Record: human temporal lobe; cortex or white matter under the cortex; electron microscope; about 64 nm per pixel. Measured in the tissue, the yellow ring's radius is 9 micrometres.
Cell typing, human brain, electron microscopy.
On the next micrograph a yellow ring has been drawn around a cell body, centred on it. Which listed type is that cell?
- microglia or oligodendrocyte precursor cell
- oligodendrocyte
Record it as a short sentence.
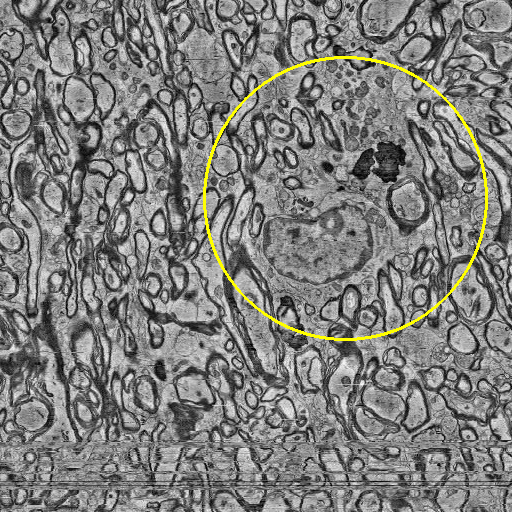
The cell body in the ring's centre belongs to a microglial cell or oligodendrocyte precursor cell.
